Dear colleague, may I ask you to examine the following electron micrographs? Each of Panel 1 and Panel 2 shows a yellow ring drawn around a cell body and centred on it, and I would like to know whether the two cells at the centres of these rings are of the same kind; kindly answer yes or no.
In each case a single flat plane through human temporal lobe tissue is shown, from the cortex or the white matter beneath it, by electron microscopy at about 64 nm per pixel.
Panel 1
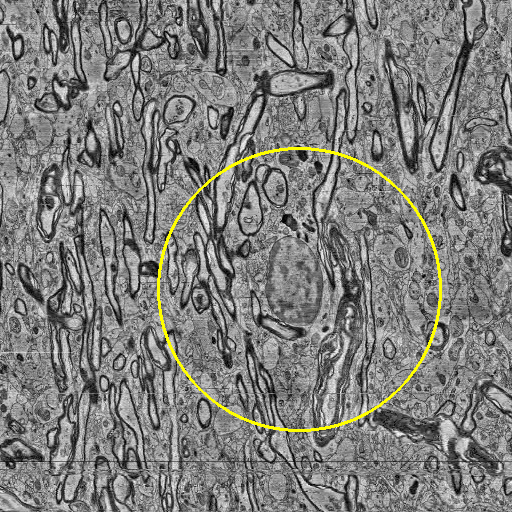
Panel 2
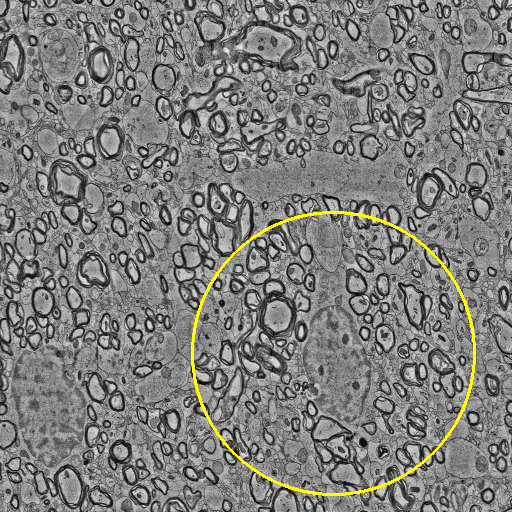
no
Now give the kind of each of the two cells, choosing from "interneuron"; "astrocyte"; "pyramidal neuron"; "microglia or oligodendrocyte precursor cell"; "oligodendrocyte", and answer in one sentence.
The cell in the first picture is a microglial cell or oligodendrocyte precursor cell, and the cell in the second is an oligodendrocyte.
